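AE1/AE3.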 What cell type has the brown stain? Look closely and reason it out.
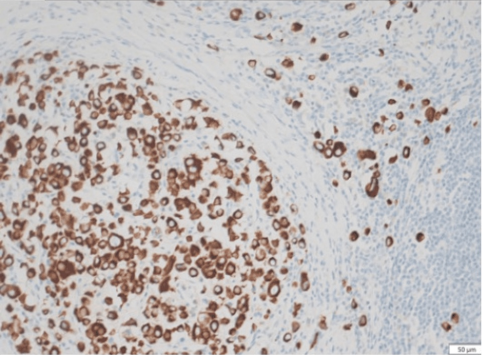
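Large cells with brown cytoplasm form a dense cluster on the left. Scattered single brown-stained cells lie in the fibrous stroma. Small blue lymphoid cells at the right are unstained. So: Tumor cells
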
